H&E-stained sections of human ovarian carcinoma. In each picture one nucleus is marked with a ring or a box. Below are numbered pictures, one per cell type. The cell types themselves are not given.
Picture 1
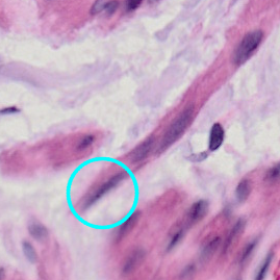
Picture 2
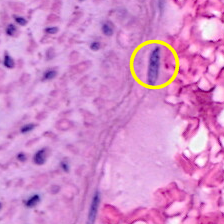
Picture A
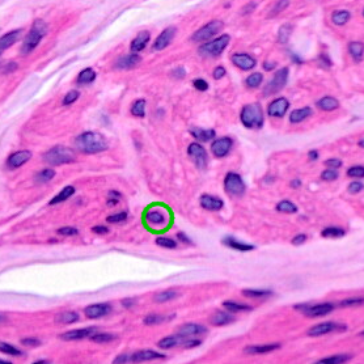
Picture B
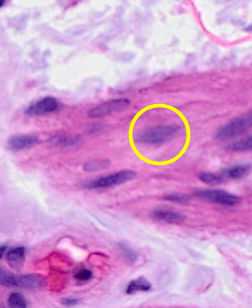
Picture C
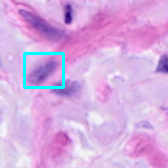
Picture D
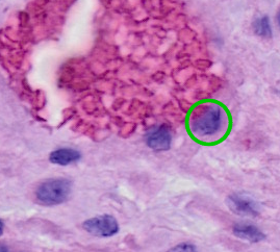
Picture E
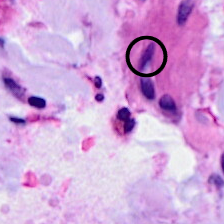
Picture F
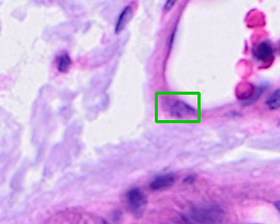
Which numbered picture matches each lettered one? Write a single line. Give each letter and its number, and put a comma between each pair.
A 1, B 1, C 1, D 2, E 1, F 2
